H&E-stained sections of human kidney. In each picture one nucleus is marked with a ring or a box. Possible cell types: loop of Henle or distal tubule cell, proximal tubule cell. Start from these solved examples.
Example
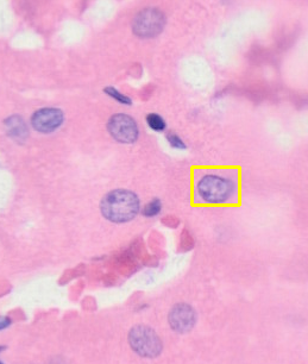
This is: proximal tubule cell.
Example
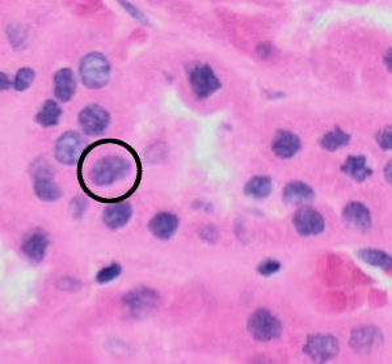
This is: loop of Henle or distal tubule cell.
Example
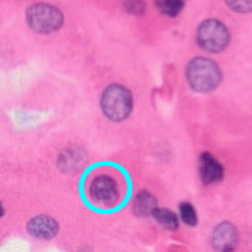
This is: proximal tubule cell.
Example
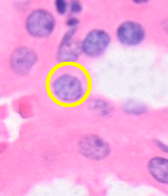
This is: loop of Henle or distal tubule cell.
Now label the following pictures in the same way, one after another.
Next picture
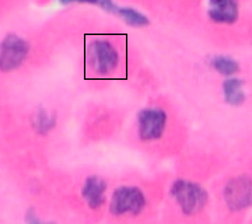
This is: proximal tubule cell.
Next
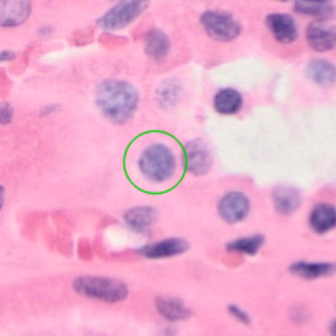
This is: loop of Henle or distal tubule cell.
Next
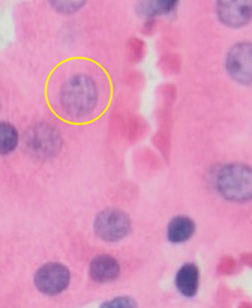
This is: proximal tubule cell.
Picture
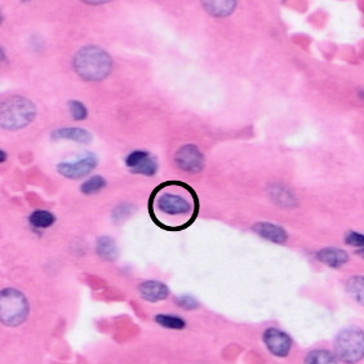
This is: loop of Henle or distal tubule cell.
